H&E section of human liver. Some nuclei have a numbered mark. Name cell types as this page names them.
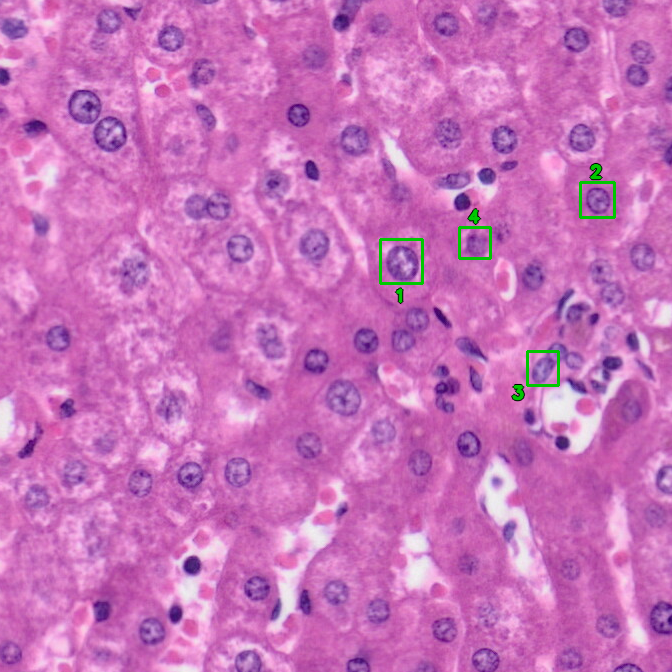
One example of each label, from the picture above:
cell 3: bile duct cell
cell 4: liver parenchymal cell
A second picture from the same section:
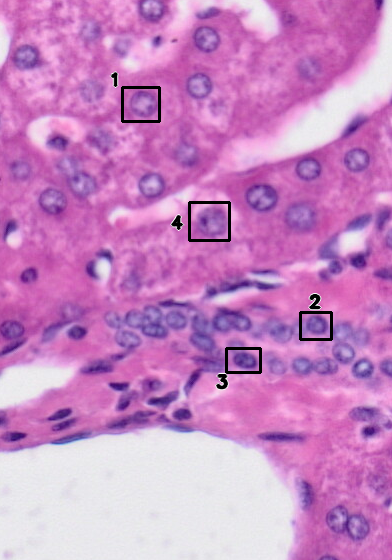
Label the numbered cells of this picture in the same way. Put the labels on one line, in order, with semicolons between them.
liver parenchymal cell; bile duct cell; bile duct cell; liver parenchymal cell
